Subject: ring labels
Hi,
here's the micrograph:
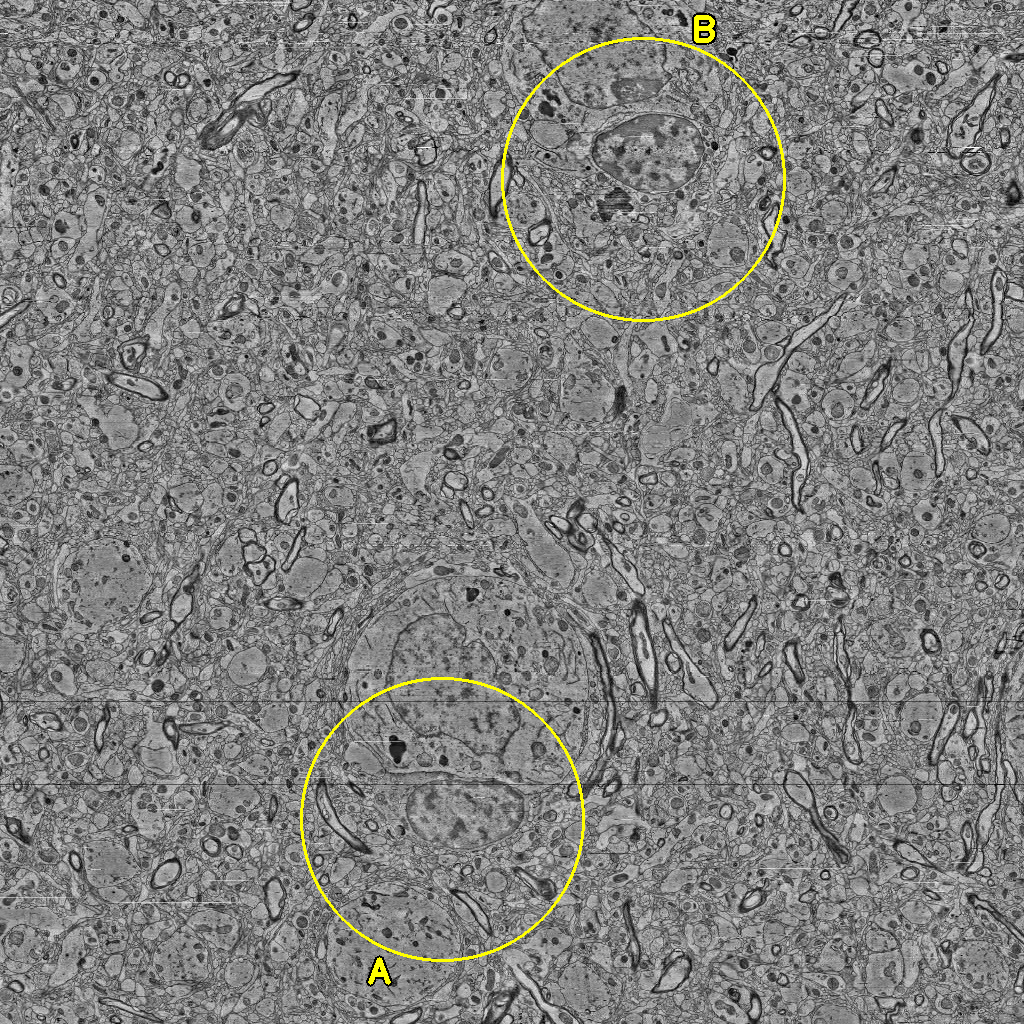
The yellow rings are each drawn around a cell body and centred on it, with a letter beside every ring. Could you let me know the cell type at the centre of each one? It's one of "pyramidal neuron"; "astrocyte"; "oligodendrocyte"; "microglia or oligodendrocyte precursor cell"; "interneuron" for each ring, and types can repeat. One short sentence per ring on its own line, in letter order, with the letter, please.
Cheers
The type at the centre of ring A is an oligodendrocyte.
The type at the centre of ring B is a microglial cell or oligodendrocyte precursor cell.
